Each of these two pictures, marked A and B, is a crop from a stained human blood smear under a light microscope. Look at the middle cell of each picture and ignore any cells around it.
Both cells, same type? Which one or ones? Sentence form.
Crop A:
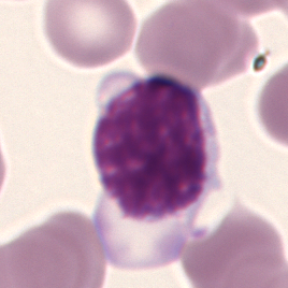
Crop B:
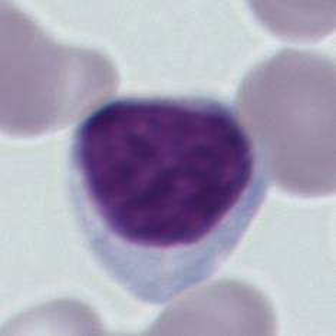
Yes, the cells in the centres of the two crops are large granular lymphocytes.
